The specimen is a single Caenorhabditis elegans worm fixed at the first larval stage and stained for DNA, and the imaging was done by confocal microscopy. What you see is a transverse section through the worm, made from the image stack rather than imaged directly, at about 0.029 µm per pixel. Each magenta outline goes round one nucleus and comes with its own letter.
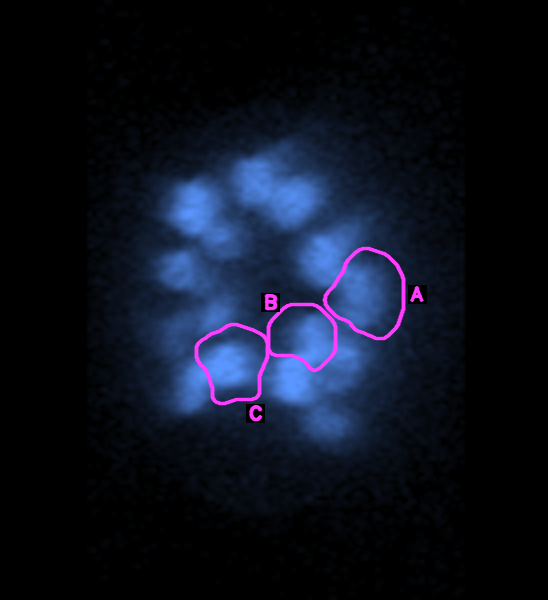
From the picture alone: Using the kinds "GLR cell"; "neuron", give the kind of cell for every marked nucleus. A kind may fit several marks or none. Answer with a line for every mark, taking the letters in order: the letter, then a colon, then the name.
A: neuron
B: GLR cell
C: GLR cell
